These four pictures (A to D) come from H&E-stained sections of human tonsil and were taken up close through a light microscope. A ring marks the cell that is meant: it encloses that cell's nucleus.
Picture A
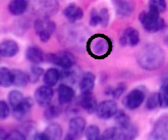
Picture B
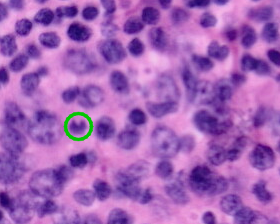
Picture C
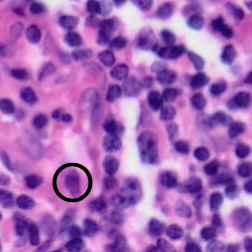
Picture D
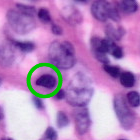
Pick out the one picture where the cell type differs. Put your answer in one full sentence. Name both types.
The different one is picture B; it shows a proliferating B cell, whereas all the others show endothelial cells.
